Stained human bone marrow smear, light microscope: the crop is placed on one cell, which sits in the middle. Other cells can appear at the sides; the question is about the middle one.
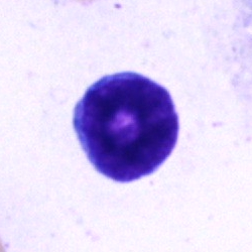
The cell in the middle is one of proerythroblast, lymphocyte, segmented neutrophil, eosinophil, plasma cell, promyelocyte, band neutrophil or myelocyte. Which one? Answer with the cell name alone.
lymphocyte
